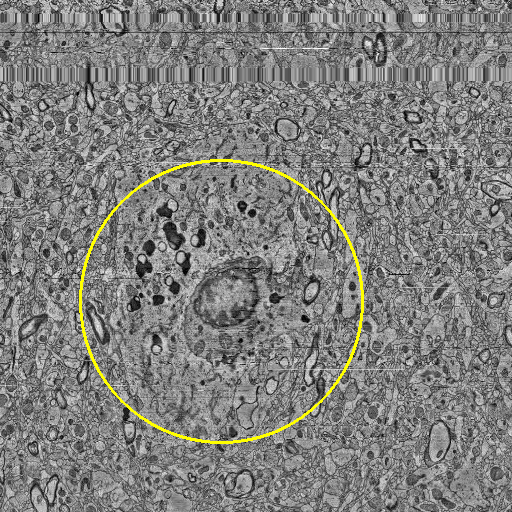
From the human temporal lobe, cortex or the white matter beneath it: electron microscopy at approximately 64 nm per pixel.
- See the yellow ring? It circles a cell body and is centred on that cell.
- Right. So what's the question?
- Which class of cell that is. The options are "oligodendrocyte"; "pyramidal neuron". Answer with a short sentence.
The centre of the ring holds an oligodendrocyte.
